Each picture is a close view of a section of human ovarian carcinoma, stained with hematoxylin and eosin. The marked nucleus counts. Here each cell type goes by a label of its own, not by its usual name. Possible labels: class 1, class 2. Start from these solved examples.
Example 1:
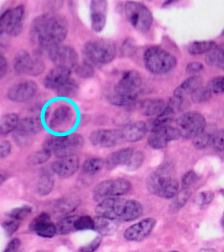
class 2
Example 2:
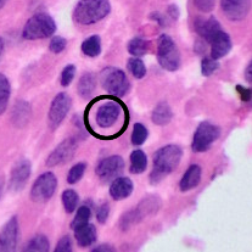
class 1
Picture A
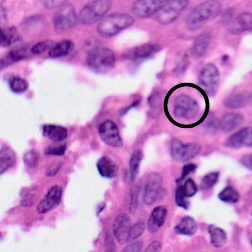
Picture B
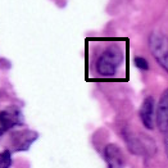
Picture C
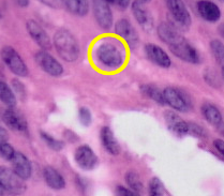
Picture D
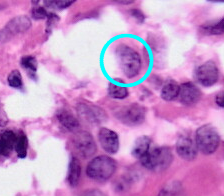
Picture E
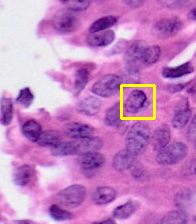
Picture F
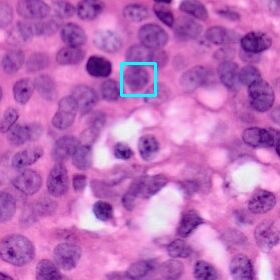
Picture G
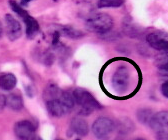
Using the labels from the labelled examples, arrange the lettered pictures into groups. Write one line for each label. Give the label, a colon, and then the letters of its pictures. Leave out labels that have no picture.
class 1: A, B, C, D, E, G
class 2: F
